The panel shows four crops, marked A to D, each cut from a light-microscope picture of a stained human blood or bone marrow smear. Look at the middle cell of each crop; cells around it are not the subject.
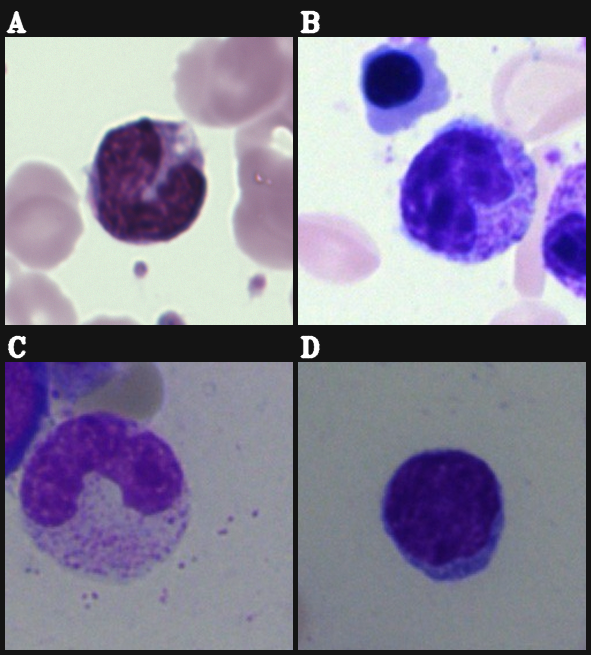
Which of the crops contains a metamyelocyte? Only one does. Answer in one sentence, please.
Only in crop B is a metamyelocyte shown.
